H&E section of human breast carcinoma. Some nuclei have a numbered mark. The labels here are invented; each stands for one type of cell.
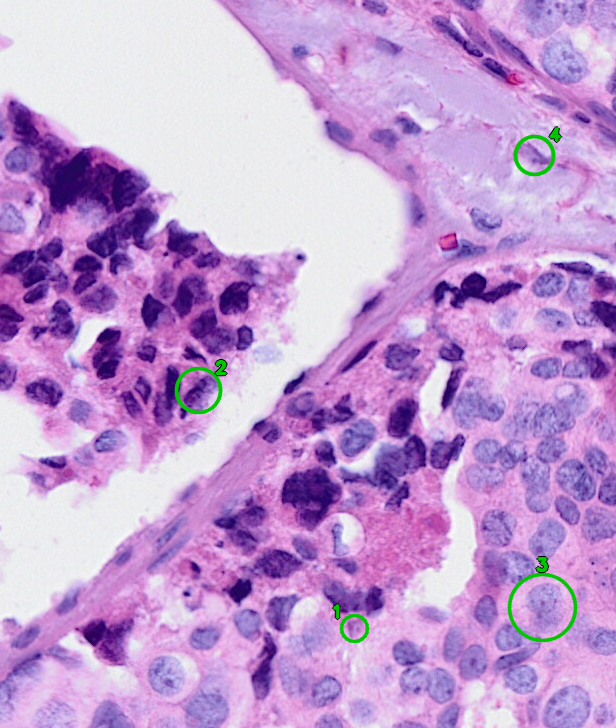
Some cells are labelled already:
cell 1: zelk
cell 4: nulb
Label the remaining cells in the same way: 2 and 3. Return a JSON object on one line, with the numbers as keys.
{"2": "zelk", "3": "zelk"}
